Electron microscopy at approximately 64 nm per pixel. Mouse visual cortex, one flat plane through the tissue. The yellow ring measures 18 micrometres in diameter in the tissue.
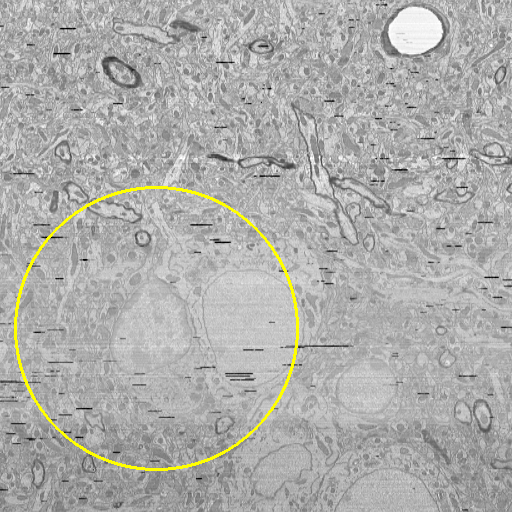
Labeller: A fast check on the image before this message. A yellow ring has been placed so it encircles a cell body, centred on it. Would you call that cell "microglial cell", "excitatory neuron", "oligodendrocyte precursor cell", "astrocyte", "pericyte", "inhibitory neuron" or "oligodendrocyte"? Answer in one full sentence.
In this image, an oligodendrocyte is the cell on which the yellow ring is centred.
